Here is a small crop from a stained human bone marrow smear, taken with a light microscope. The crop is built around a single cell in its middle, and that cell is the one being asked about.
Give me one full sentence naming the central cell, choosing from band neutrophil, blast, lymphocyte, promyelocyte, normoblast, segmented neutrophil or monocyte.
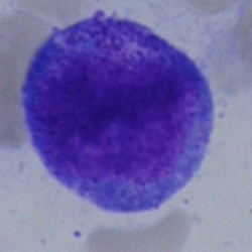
Among the cells in view, the one in the middle is a promyelocyte.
